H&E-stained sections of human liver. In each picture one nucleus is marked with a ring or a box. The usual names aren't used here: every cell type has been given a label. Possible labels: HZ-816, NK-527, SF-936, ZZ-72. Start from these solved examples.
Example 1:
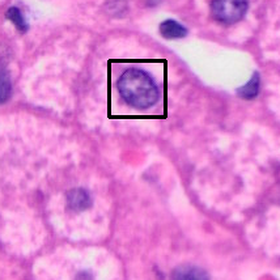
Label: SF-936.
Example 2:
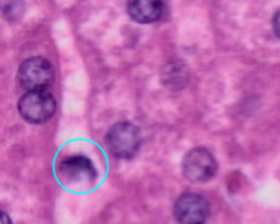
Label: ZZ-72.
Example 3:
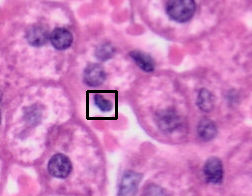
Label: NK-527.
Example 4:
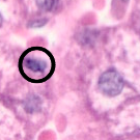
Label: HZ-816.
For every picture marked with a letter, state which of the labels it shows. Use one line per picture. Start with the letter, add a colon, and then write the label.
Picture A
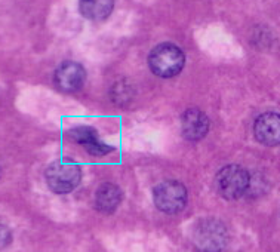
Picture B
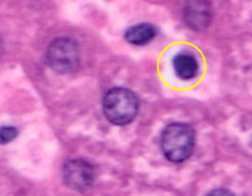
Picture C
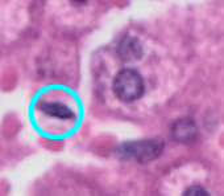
A: ZZ-72.
B: NK-527.
C: NK-527.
